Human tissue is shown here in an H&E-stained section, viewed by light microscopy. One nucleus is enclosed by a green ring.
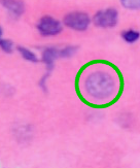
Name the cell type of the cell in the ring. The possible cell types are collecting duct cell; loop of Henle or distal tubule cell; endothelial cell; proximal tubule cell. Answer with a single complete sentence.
It is as a proximal tubule cell that the cell in the ring is recorded.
